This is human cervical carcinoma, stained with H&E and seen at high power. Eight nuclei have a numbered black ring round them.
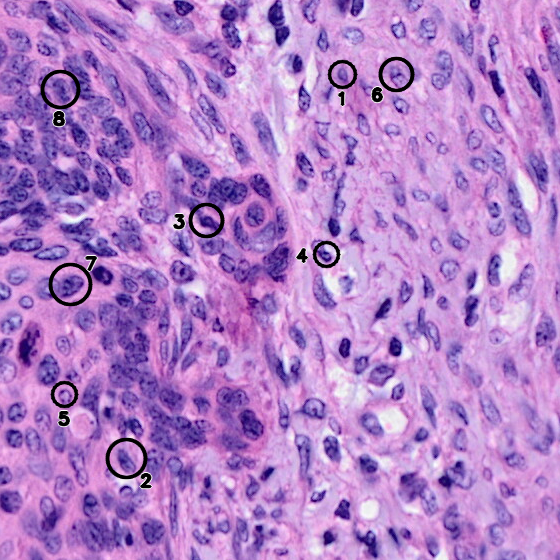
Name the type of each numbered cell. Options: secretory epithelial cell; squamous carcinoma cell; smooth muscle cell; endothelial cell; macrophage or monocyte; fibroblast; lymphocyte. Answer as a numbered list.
1. smooth muscle cell
2. squamous carcinoma cell
3. lymphocyte
4. lymphocyte
5. squamous carcinoma cell
6. smooth muscle cell
7. squamous carcinoma cell
8. squamous carcinoma cell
